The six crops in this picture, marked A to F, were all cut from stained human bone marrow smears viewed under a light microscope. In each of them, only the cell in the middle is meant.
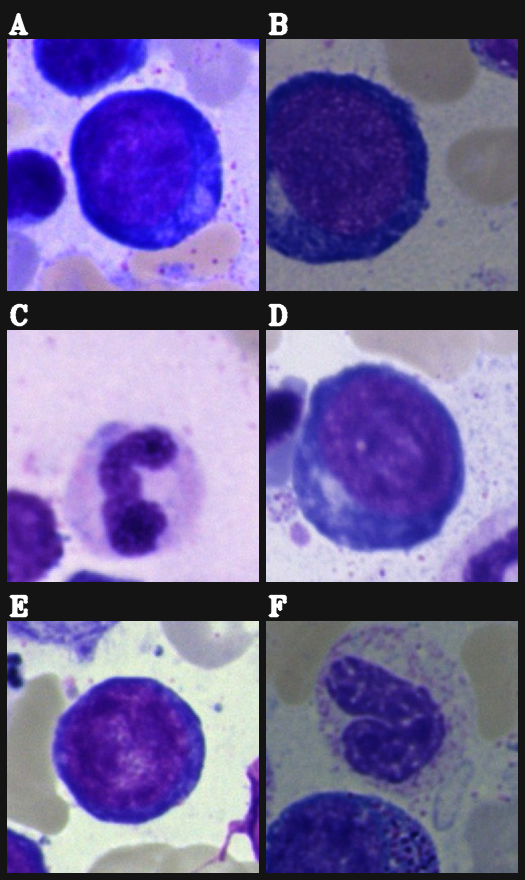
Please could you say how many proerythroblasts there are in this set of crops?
4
